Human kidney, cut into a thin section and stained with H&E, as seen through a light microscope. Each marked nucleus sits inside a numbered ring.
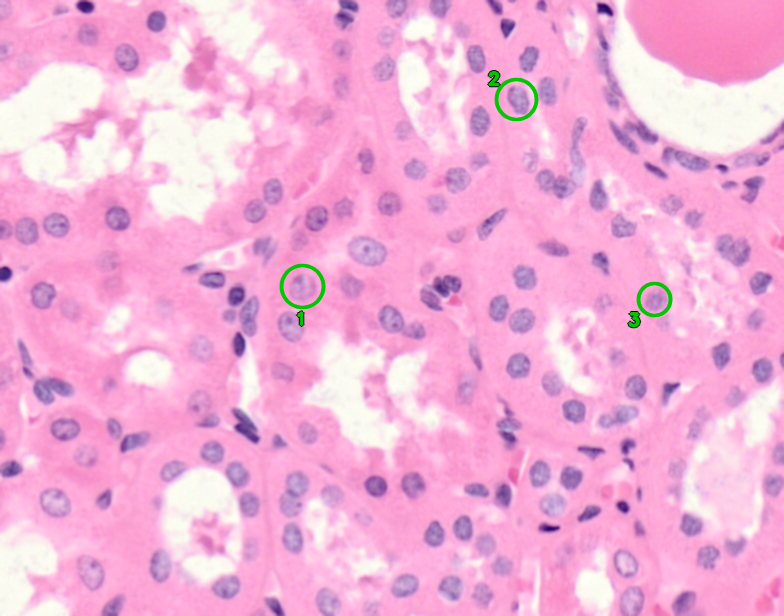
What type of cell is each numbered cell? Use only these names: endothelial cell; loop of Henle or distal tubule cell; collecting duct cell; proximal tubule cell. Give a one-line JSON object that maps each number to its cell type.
{"1": "proximal tubule cell", "2": "loop of Henle or distal tubule cell", "3": "loop of Henle or distal tubule cell"}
